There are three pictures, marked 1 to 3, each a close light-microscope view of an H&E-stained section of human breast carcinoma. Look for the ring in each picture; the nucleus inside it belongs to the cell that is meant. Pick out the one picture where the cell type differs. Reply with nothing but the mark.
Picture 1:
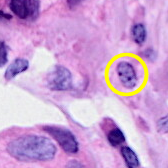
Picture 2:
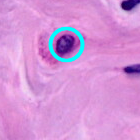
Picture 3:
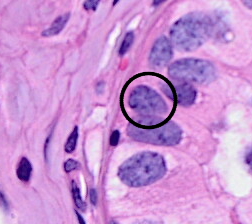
3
